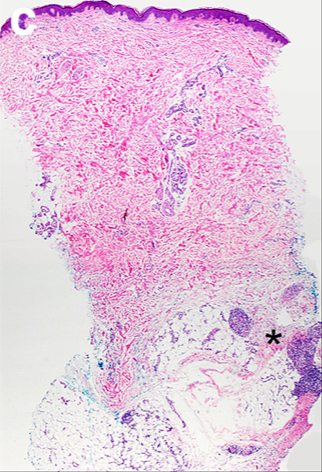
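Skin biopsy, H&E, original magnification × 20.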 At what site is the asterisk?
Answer: subcutaneous tissue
